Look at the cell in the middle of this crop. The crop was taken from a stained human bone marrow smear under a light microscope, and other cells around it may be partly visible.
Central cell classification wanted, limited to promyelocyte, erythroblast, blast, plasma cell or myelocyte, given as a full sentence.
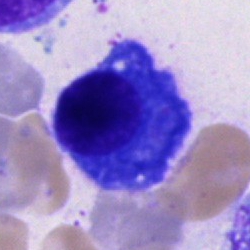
What the crop centres on is a plasma cell.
